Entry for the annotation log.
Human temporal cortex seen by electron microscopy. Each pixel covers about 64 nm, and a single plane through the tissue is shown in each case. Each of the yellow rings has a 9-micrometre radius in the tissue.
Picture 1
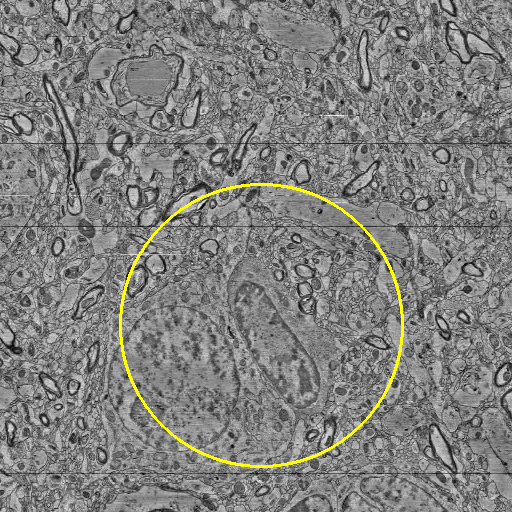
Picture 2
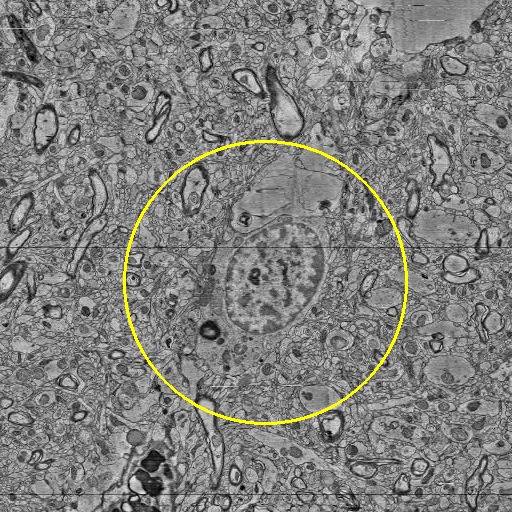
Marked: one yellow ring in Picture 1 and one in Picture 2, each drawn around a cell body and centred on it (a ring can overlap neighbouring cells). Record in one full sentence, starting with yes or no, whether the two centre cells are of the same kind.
Yes, both cells are of the same kind.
